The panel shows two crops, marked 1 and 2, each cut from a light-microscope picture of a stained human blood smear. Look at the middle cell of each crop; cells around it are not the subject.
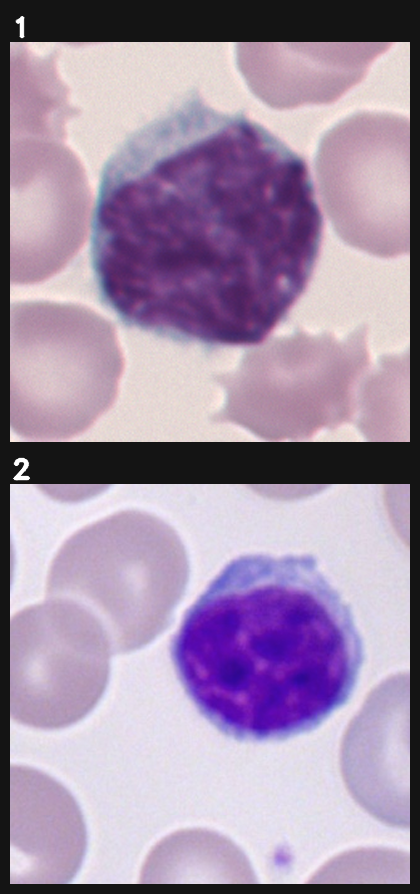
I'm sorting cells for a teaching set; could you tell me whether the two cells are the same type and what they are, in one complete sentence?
No, a lymphocyte is the cell of crop 2, while a monocyte is the cell of crop 1.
